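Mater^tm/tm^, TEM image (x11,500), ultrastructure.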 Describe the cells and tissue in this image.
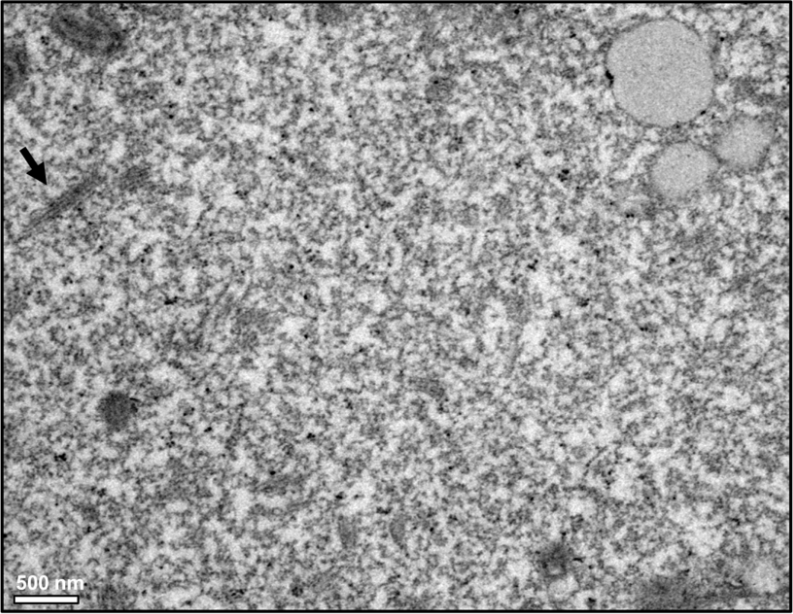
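This electron micrograph shows oocyte cytoplasm in which lattice structures are scarce. Only one clear bundle of parallel dark fibrils, near the upper left edge, stands out. Elsewhere the cytoplasm is a fairly uniform, finely granular matrix with scattered small dark particles and only faint short fibrillar profiles. A few small round dense bodies are also scattered through the field.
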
